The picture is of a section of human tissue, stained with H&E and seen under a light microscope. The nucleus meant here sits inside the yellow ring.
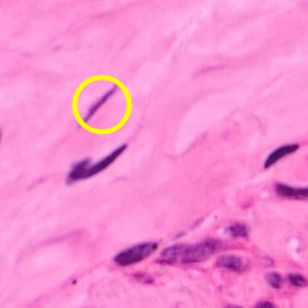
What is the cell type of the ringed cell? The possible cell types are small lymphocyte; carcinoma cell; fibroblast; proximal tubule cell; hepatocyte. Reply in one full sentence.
As far as its identity is concerned, the ringed cell is a fibroblast.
